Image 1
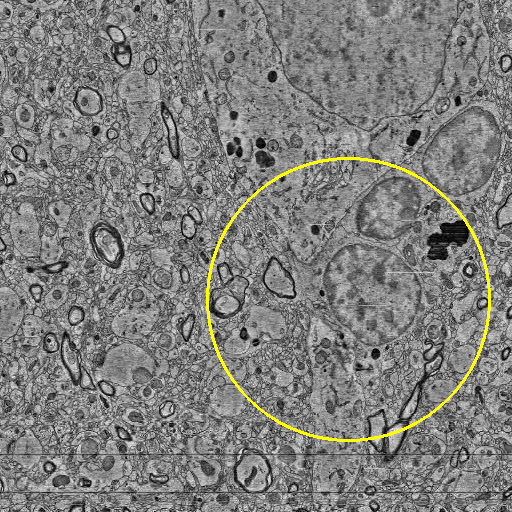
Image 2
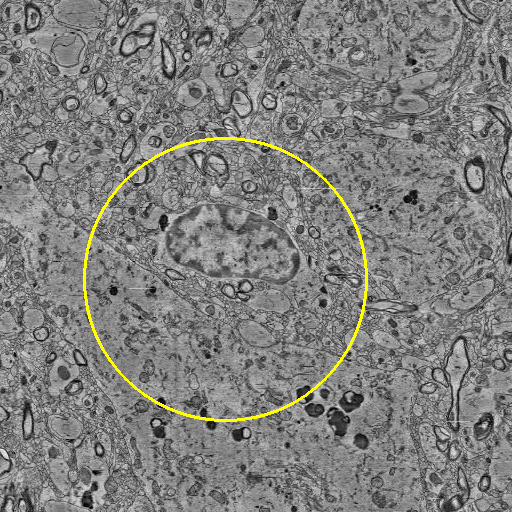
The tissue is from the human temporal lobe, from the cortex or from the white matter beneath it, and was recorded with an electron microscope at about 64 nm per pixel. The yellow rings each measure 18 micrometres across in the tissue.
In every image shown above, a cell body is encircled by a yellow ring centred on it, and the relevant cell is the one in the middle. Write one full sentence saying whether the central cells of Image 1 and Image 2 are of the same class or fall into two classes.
The cell at the ring's centre in Image 1 and its counterpart in Image 2 fall into two classes.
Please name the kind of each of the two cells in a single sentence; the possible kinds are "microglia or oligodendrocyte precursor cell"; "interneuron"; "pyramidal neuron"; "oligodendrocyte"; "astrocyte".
In the first picture the ring is centred on an oligodendrocyte, and in the second on a microglial cell or oligodendrocyte precursor cell.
